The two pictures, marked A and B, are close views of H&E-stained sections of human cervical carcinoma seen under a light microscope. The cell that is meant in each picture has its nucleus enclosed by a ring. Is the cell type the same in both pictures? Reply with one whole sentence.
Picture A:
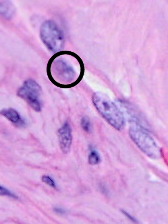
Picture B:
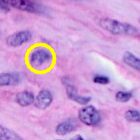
No. Picture A shows an endothelial cell, but picture B shows a smooth muscle cell.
